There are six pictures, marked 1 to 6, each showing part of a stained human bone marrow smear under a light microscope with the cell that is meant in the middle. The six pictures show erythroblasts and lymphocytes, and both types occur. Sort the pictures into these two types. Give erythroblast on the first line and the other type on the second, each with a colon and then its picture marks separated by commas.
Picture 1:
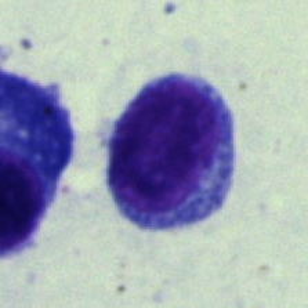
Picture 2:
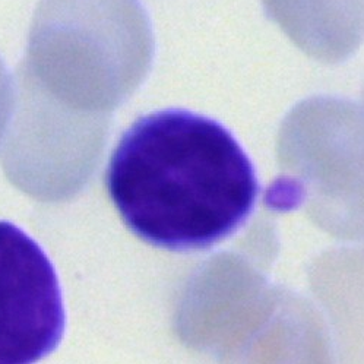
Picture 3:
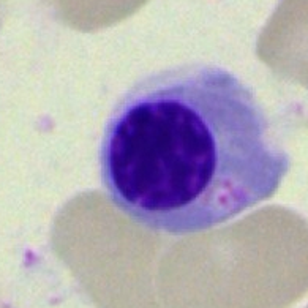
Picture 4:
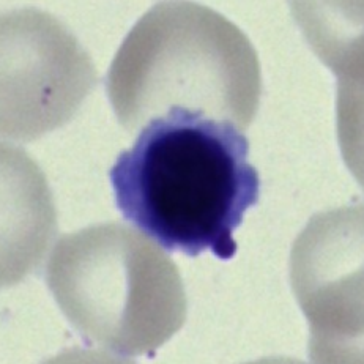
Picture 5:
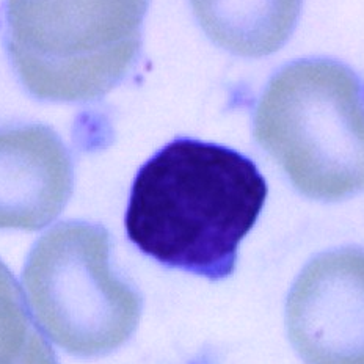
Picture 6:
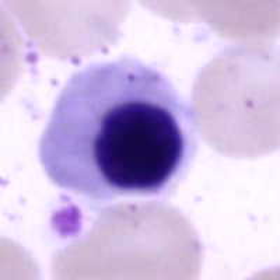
erythroblast: 3, 4, 6
lymphocyte: 1, 2, 5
